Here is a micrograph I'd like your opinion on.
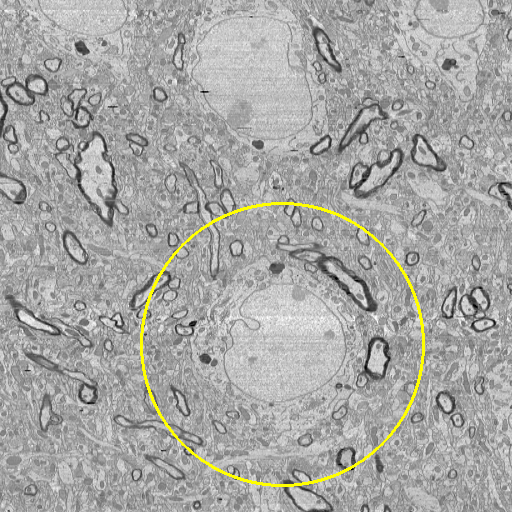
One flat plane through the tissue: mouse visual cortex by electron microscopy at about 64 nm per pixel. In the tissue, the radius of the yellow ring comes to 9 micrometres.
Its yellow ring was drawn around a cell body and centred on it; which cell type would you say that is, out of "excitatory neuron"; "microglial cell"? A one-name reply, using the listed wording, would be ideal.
excitatory neuron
